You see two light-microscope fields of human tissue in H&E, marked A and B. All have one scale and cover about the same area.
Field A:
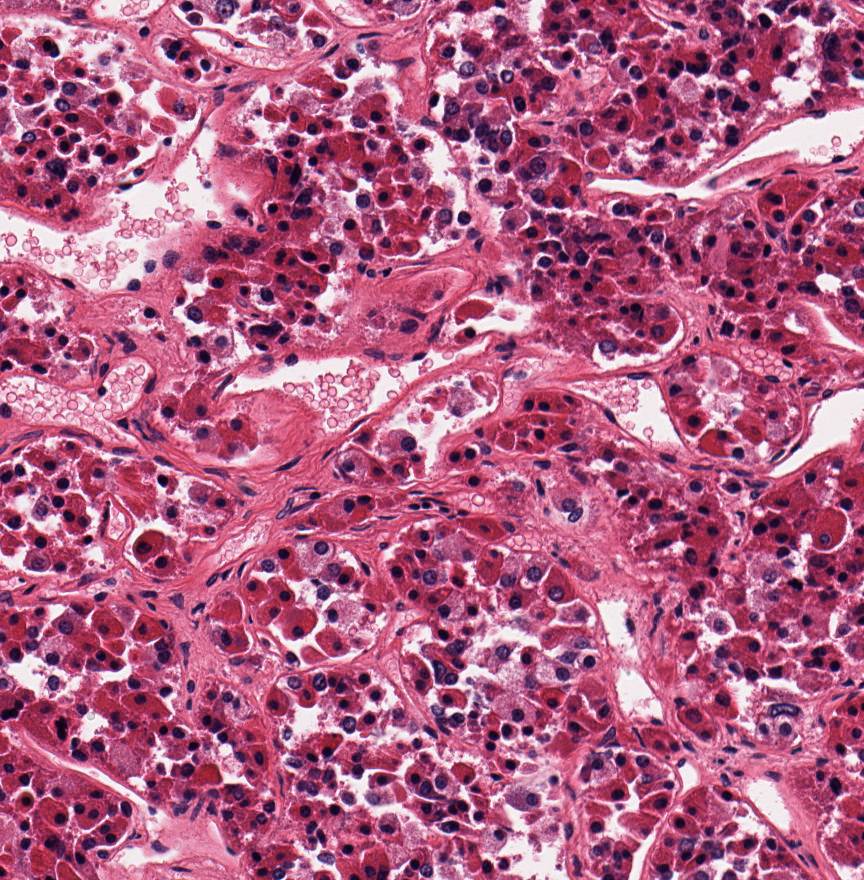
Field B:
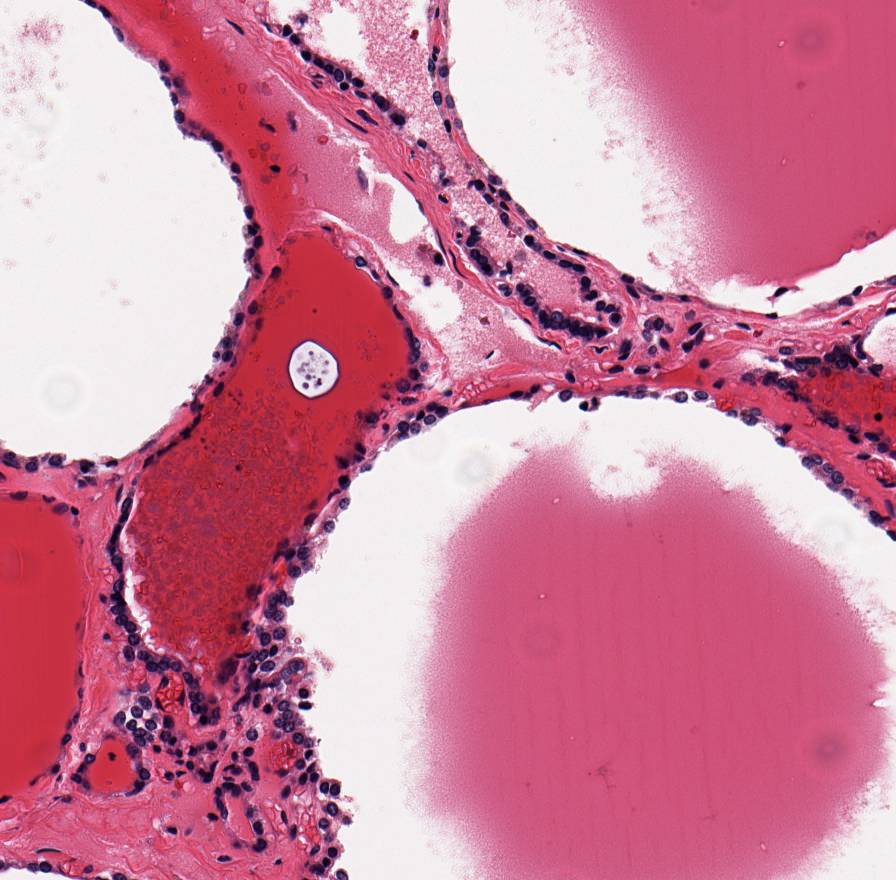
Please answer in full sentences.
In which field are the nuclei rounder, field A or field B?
On the whole the nuclei of field A are rounder than those of field B.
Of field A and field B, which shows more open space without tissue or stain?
Unstained space takes up more of field B than of field A.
